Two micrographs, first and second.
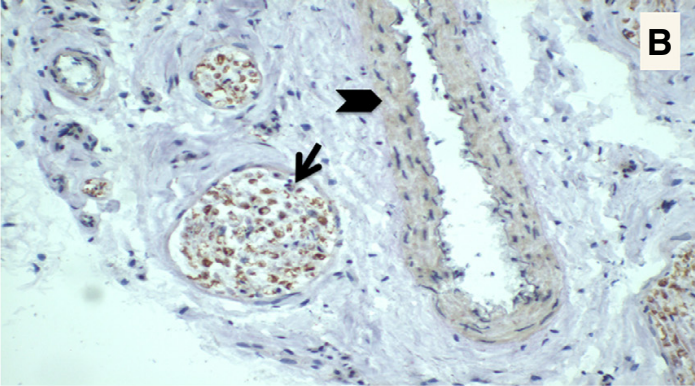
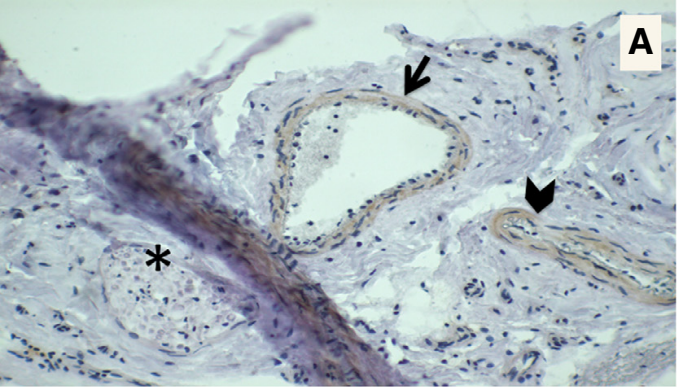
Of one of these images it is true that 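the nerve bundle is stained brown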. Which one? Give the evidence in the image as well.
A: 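Second image: the nerve bundle under the asterisk is pale with bluish nuclei and no brown colour. First image: the nerve bundle at the arrow is filled with brown-stained profiles.
The first image.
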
